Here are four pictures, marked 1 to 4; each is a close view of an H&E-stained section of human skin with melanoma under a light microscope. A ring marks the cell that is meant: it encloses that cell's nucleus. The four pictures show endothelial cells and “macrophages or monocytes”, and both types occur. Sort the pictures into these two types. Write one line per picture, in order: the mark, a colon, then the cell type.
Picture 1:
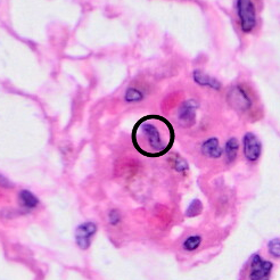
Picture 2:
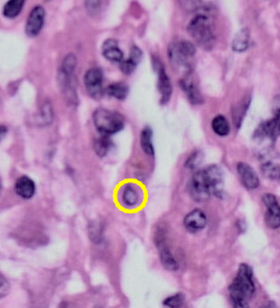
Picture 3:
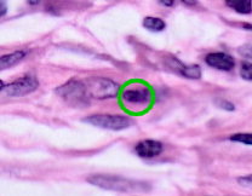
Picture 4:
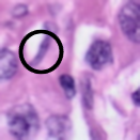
1: macrophage or monocyte
2: macrophage or monocyte
3: endothelial cell
4: endothelial cell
